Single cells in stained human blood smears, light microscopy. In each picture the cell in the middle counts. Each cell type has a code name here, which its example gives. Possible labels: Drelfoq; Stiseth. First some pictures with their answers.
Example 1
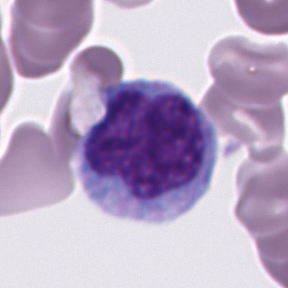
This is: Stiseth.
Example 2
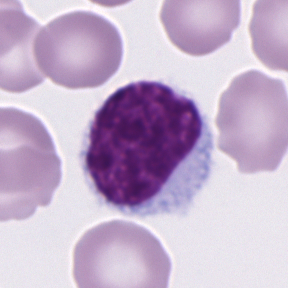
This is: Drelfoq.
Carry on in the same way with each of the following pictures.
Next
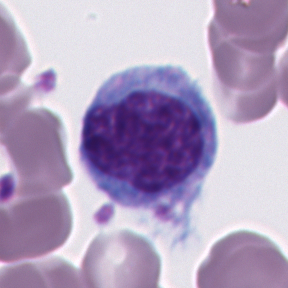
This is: Stiseth.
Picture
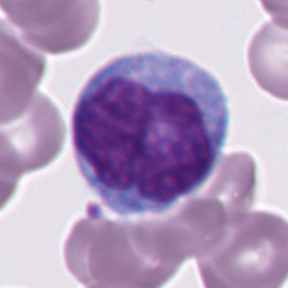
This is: Stiseth.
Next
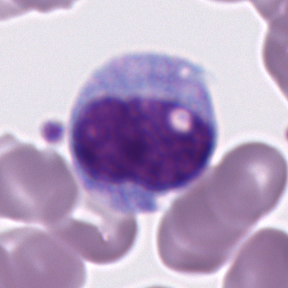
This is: Stiseth.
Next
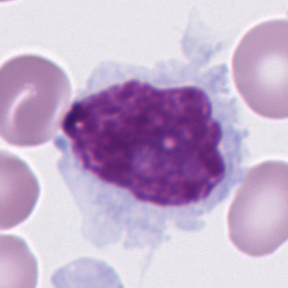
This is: Drelfoq.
